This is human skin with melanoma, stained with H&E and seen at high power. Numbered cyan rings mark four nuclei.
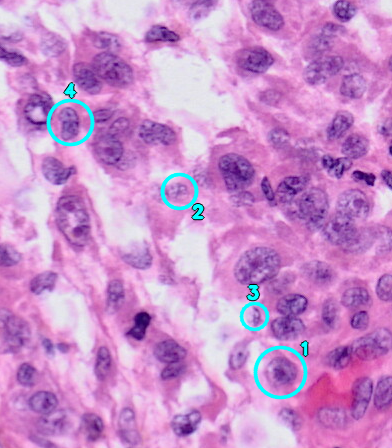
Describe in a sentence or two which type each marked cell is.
Cells 1, 2 and 3 are melanoma cells. Cell 4 is a macrophage or monocyte.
